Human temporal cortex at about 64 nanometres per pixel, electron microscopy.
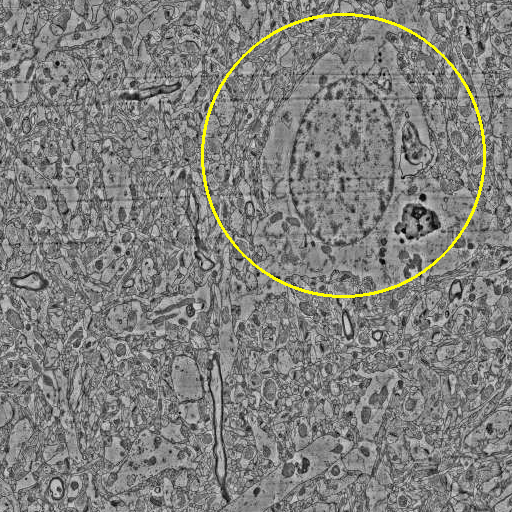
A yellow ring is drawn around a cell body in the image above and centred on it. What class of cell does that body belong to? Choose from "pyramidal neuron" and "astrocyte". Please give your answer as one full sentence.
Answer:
The yellow ring above is centred on the cell body of an astrocyte.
